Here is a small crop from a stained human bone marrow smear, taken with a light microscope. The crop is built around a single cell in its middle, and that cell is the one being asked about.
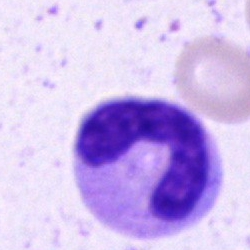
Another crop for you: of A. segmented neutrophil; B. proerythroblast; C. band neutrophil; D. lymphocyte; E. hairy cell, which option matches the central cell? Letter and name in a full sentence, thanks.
The cell positioned centrally is a band neutrophil, as given in option C, which is correct.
